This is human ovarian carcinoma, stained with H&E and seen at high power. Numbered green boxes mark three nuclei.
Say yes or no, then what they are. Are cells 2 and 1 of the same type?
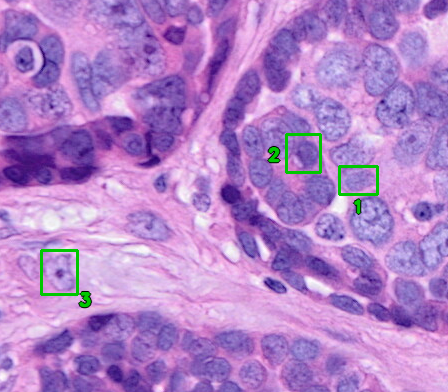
Yes, the cell labelled 2 and the cell labelled 1 are both carcinoma cells.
